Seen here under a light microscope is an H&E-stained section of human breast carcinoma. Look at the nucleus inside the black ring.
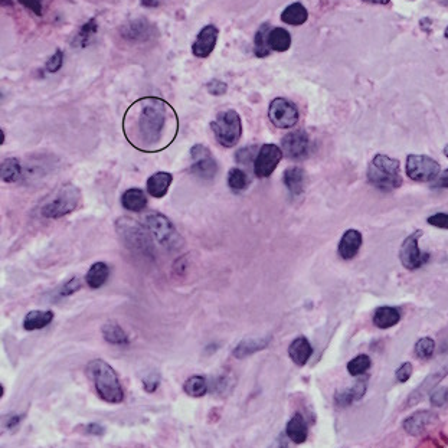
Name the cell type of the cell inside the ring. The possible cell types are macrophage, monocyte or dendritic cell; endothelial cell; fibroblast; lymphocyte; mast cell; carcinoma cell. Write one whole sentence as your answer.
So far as cell type goes, the cell inside the ring is a macrophage, monocyte or dendritic cell.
